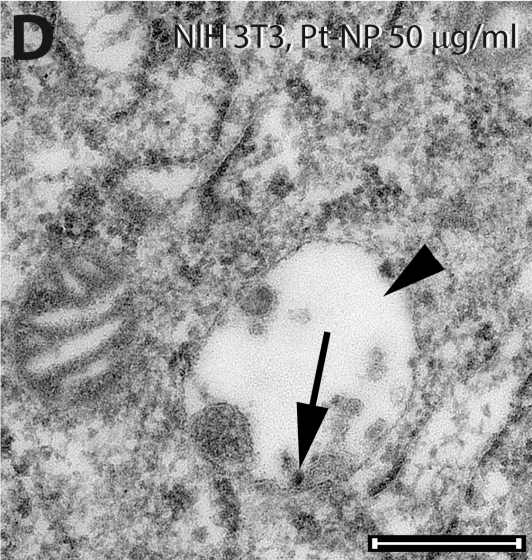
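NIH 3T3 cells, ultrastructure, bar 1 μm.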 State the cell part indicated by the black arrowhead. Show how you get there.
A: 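Multi-vesicular bodies. The arrowhead points to a large pale membrane-bound compartment in the cytoplasm. Small round vesicles and dark specks lie at its inner margin.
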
